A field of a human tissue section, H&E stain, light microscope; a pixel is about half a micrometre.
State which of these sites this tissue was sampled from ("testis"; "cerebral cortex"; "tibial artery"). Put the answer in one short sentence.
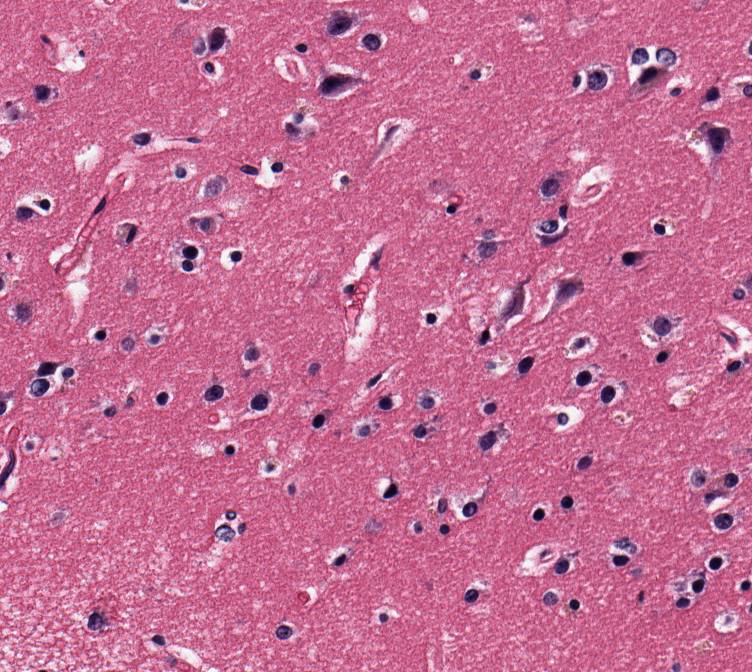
The site this tissue was sampled from is the cerebral cortex.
